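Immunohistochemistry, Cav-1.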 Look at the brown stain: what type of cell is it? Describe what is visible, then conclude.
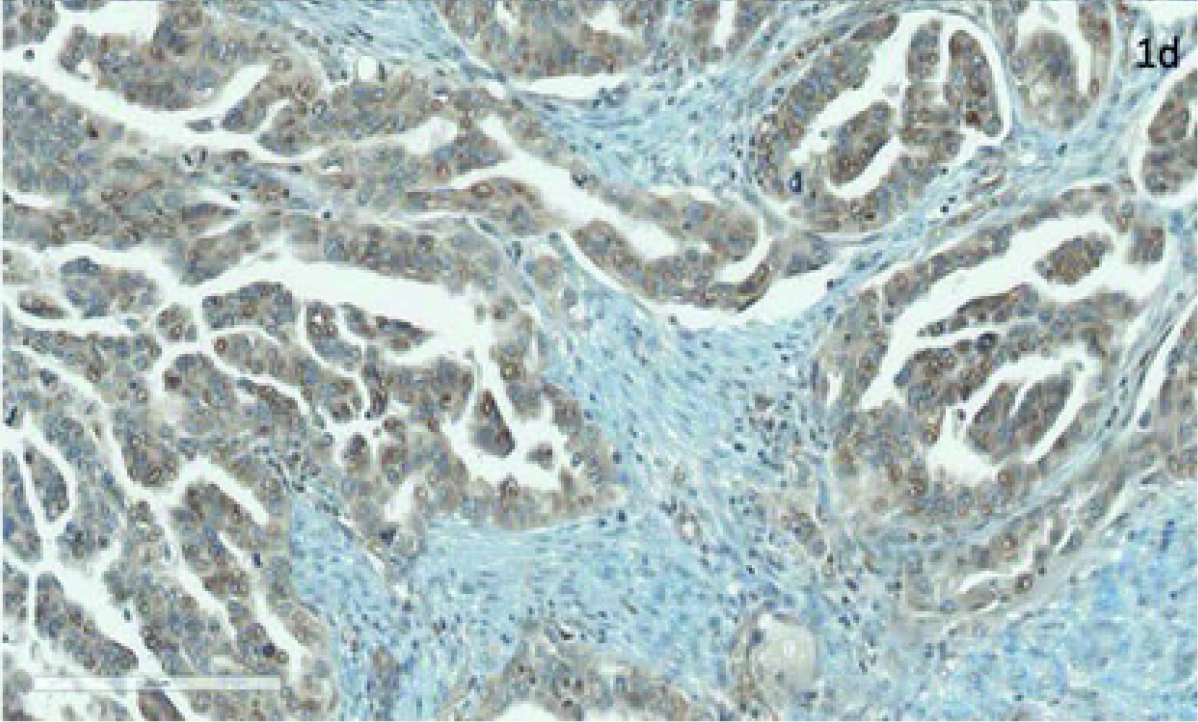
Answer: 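Brown cytoplasmic stain in cells lining papillae and slit-like spaces. These cells have large rounded nuclei and are stacked in layers. On this evidence: tumor epithelial cells.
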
